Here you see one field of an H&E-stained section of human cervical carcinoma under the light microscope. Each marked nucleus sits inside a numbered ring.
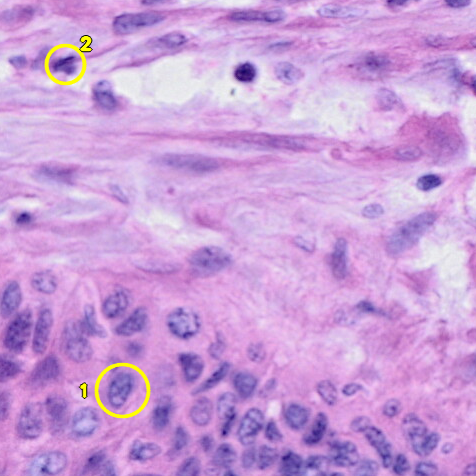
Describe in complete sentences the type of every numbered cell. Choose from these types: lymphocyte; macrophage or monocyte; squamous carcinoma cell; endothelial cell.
Cell 1 is a squamous carcinoma cell and cell 2 is a lymphocyte.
